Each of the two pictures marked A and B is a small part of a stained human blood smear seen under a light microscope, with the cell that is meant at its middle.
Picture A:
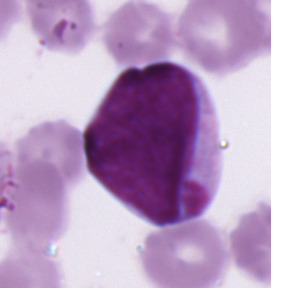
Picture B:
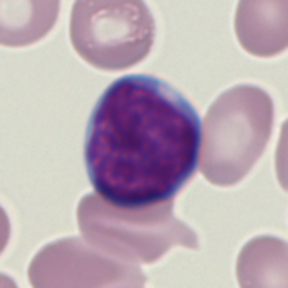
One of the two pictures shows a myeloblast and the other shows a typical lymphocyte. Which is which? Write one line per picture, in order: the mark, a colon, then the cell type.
A: myeloblast
B: typical lymphocyte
